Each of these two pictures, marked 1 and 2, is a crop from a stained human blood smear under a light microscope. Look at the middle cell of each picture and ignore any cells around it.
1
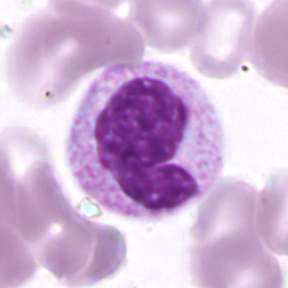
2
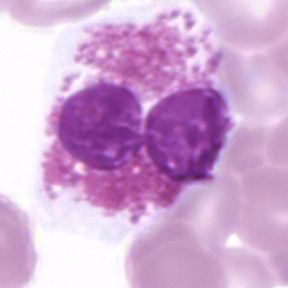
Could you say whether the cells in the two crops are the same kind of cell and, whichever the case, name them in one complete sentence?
No, it is crop 1 that shows a band neutrophil, and crop 2 shows an eosinophil.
